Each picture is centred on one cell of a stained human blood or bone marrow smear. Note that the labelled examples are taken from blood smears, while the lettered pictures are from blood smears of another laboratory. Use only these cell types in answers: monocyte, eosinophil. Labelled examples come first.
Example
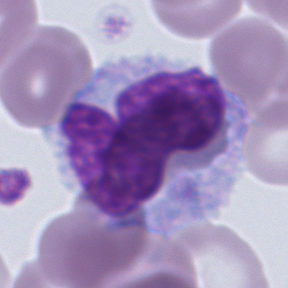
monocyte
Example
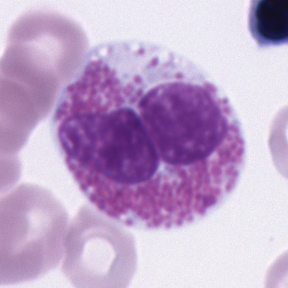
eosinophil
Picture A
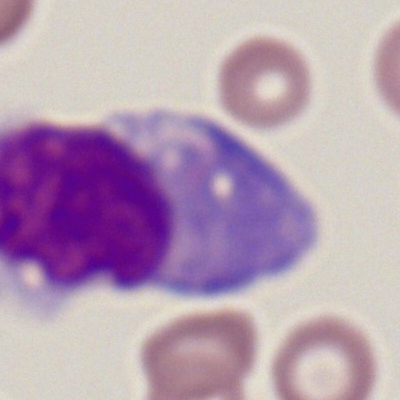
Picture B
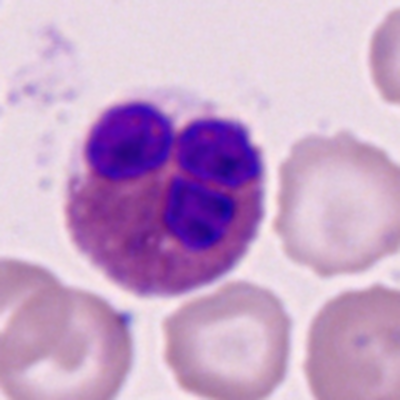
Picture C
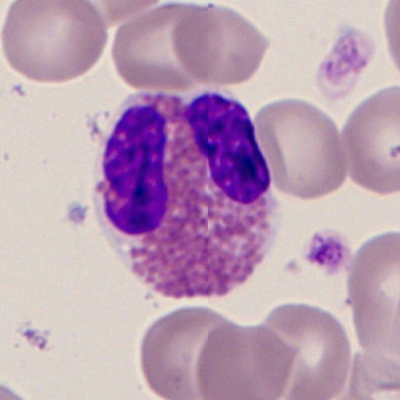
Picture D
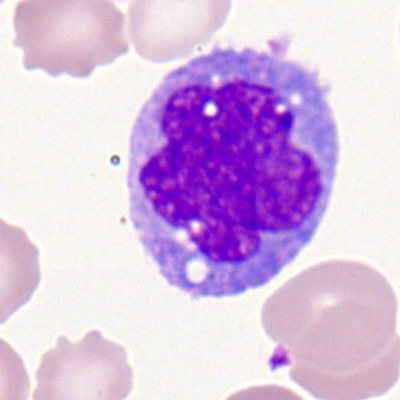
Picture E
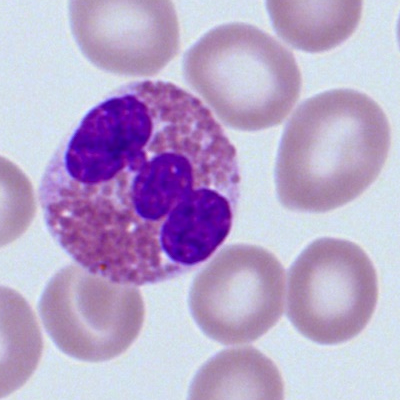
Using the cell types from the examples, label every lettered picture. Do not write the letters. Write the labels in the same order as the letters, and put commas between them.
monocyte, eosinophil, eosinophil, monocyte, eosinophil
